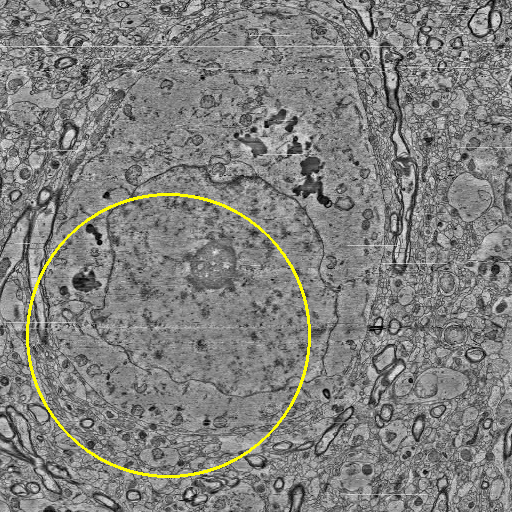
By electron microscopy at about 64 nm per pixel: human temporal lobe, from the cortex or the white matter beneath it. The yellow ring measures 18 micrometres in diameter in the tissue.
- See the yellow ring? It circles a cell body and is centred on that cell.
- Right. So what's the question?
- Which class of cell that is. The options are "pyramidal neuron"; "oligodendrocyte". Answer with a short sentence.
The centre of the ring holds a pyramidal neuron.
